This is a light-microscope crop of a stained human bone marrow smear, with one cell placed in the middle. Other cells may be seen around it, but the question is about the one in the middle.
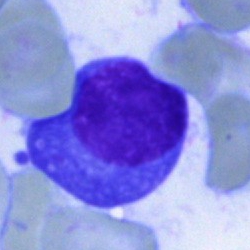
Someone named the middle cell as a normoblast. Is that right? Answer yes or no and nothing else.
no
